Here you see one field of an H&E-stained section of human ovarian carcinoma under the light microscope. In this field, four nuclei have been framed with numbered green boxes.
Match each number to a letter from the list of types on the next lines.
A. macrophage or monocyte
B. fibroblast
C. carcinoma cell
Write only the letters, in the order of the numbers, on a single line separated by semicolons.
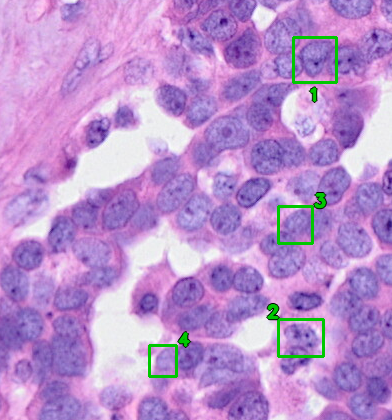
C; A; C; C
